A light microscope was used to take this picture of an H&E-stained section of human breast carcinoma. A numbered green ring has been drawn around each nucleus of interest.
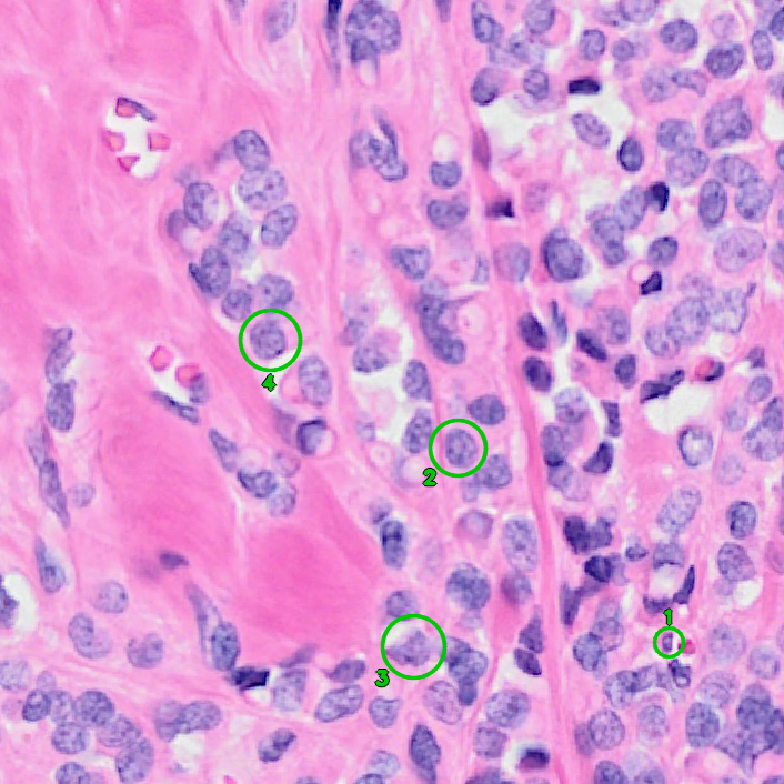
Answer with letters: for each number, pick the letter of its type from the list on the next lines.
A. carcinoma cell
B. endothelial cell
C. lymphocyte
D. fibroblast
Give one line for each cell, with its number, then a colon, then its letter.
1: B
2: A
3: A
4: A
